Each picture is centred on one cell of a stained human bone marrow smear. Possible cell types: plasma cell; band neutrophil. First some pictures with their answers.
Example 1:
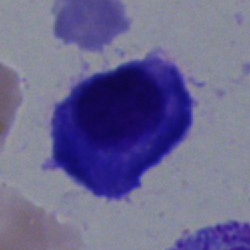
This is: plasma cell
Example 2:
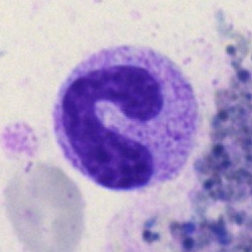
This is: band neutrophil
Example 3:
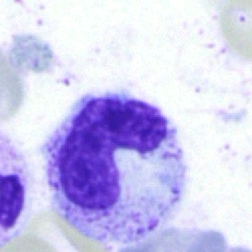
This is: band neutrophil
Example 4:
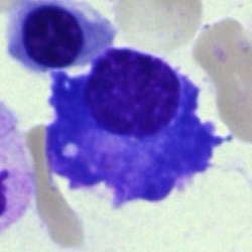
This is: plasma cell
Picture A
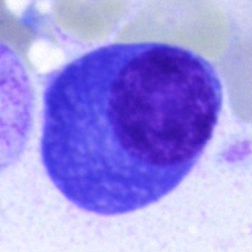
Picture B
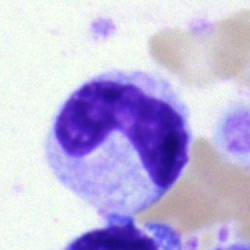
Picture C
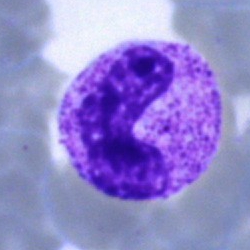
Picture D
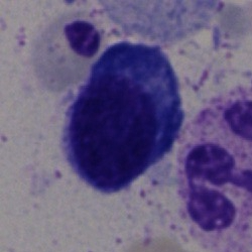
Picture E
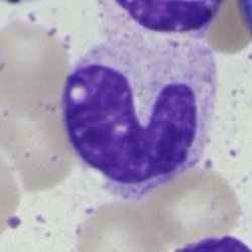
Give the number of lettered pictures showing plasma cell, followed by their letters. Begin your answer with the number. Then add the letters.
Count: 2 (A, D)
